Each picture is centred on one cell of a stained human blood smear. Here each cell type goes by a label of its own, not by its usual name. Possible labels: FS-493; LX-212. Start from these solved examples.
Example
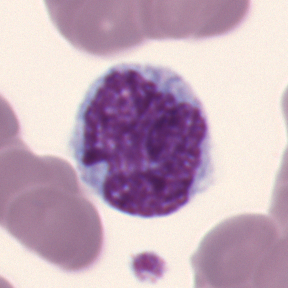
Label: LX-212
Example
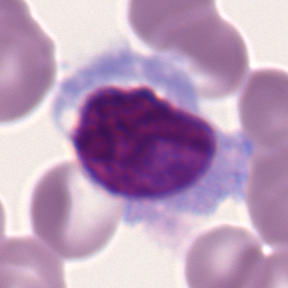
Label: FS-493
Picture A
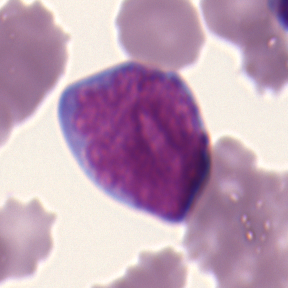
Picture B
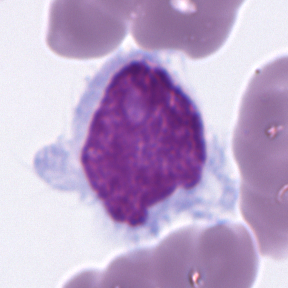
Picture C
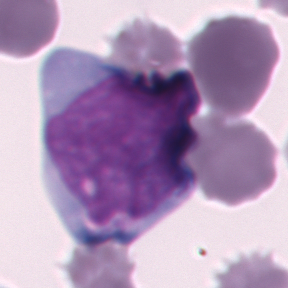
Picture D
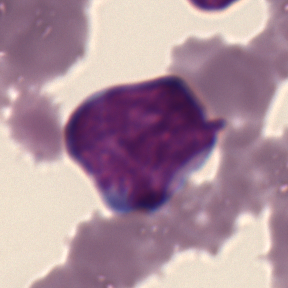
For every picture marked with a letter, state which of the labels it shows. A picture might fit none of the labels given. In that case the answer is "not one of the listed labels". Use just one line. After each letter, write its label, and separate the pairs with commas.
A not one of the listed labels, B FS-493, C not one of the listed labels, D not one of the listed labels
